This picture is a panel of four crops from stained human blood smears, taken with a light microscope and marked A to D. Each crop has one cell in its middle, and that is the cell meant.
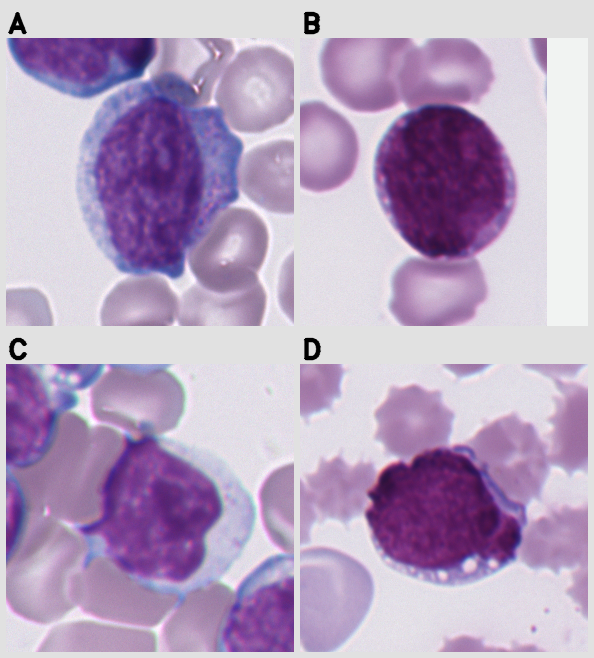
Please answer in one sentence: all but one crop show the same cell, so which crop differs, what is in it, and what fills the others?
Crop A is the exception in this set, showing a promyelocyte while the others show myeloblasts.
